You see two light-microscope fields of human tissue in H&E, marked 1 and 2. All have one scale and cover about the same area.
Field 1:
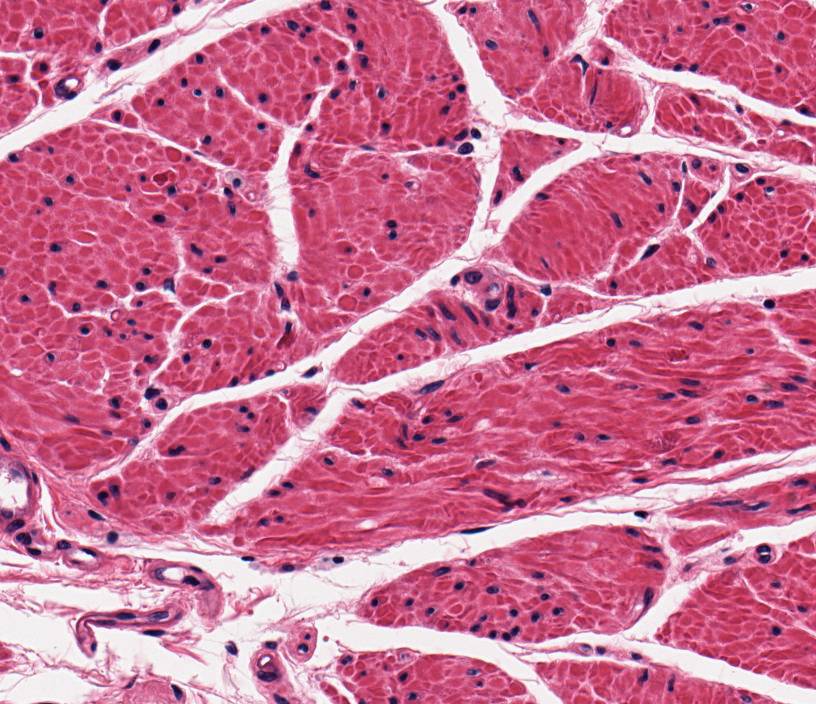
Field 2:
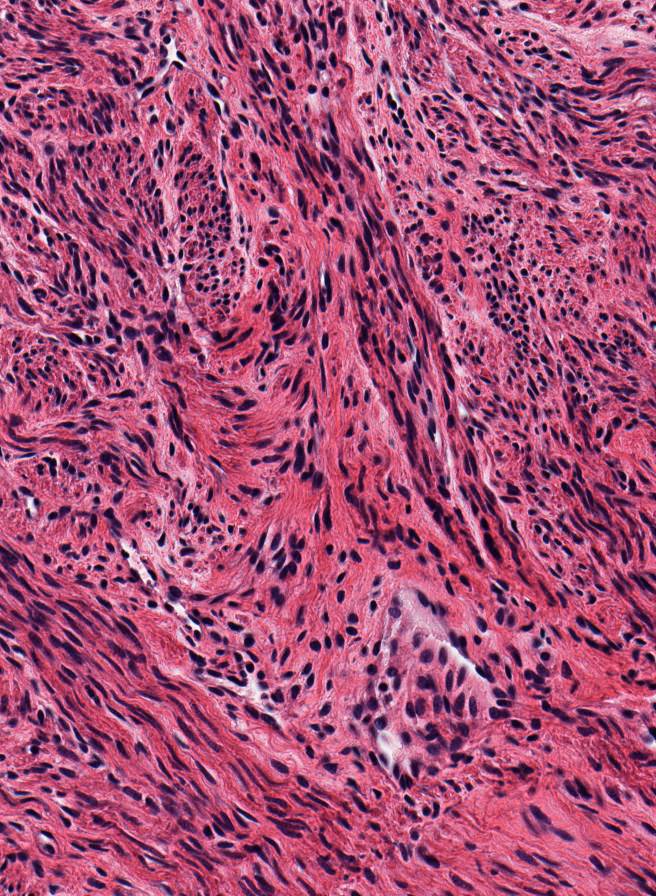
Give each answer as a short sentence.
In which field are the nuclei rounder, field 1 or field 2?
It is field 1 whose nuclei are the rounder.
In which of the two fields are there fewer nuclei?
Fewer nuclei lie in field 1 than in field 2.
